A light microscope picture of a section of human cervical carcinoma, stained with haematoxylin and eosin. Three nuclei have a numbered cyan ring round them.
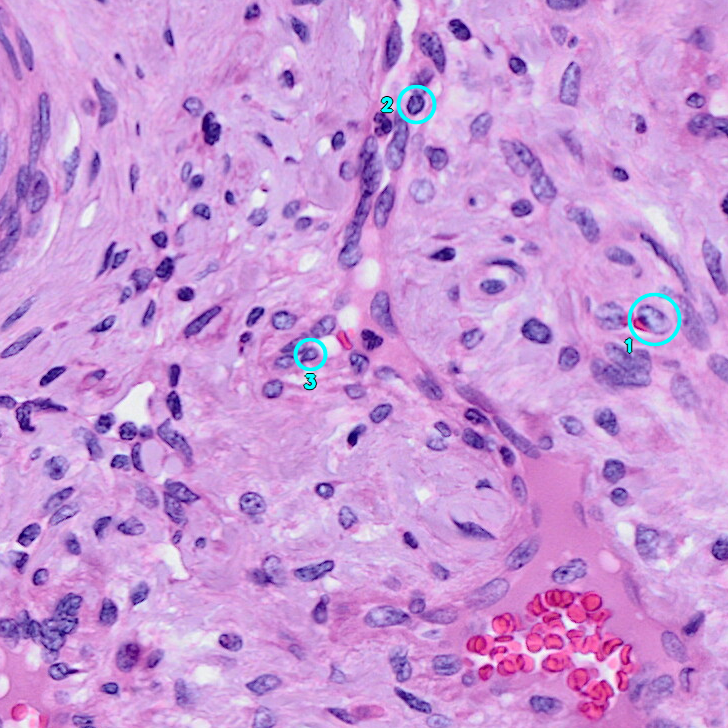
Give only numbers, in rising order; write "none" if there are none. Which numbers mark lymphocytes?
2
